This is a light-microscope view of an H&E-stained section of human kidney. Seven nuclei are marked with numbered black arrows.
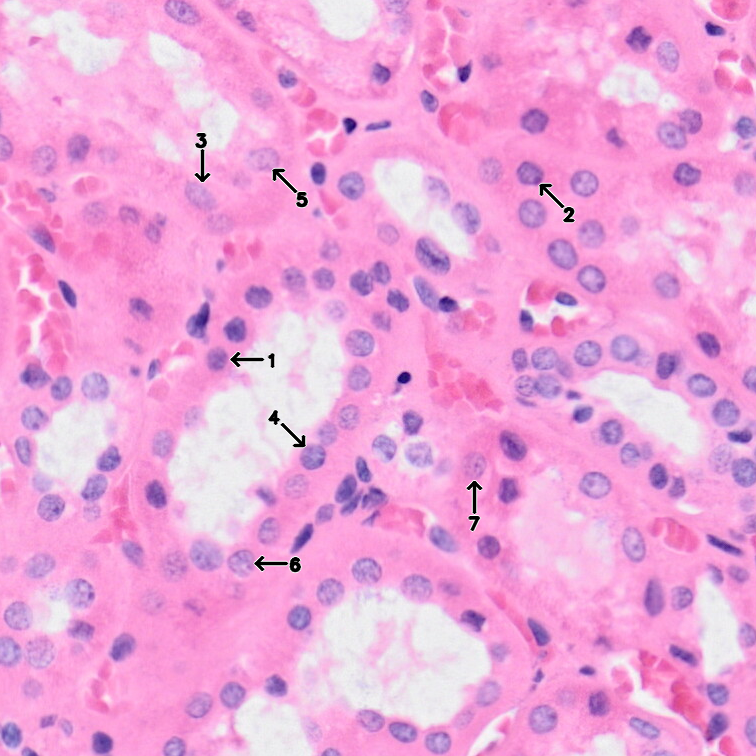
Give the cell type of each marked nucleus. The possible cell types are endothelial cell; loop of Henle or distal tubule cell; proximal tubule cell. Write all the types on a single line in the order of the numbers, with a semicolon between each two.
loop of Henle or distal tubule cell; proximal tubule cell; proximal tubule cell; loop of Henle or distal tubule cell; proximal tubule cell; loop of Henle or distal tubule cell; proximal tubule cell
